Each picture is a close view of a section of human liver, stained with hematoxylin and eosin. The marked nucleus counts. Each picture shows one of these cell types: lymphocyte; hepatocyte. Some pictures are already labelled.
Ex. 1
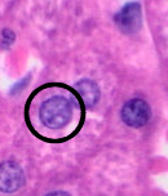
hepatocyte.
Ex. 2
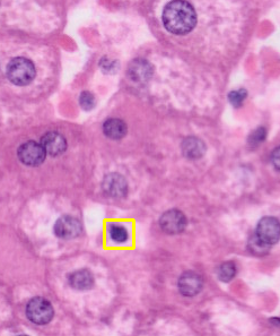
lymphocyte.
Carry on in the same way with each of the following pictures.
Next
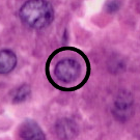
hepatocyte.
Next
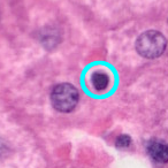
lymphocyte.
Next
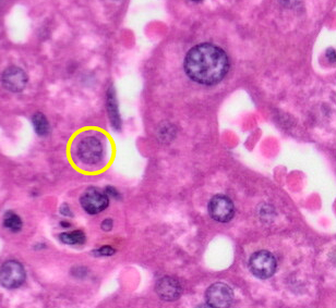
hepatocyte.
